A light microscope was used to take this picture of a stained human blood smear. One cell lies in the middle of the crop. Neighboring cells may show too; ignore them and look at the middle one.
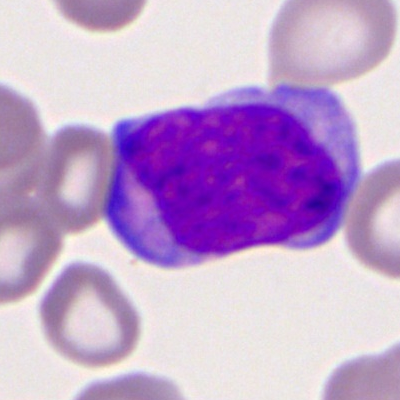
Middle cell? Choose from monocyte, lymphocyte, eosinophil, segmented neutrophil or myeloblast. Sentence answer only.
The middle of this crop is occupied by a myeloblast.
